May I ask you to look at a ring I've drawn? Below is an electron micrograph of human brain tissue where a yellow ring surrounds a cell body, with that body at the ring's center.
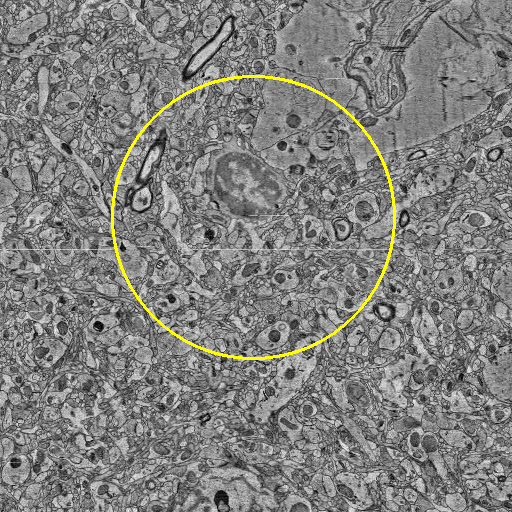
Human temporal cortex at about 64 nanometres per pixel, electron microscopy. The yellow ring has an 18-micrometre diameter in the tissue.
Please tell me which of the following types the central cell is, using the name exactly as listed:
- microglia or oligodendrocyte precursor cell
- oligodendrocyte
oligodendrocyte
